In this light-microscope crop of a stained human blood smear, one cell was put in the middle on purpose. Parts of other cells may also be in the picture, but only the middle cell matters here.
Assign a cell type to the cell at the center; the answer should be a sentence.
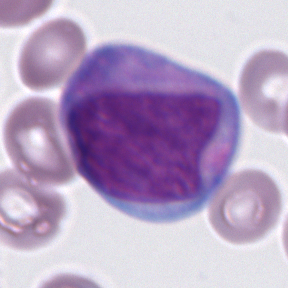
Centrally within this crop lies an atypical promyelocyte.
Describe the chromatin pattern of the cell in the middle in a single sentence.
Answer: the chromatin is fine and has no coarse clumps.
